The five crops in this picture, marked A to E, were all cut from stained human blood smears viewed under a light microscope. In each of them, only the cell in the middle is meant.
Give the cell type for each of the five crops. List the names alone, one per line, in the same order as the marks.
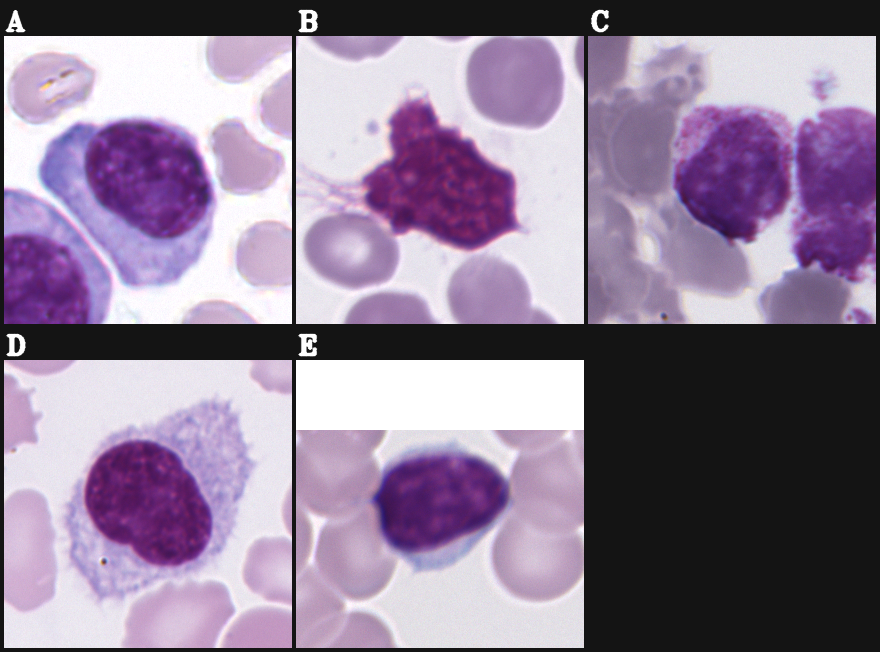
plasma cell
smudge cell
basophil
hairy cell
typical lymphocyte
